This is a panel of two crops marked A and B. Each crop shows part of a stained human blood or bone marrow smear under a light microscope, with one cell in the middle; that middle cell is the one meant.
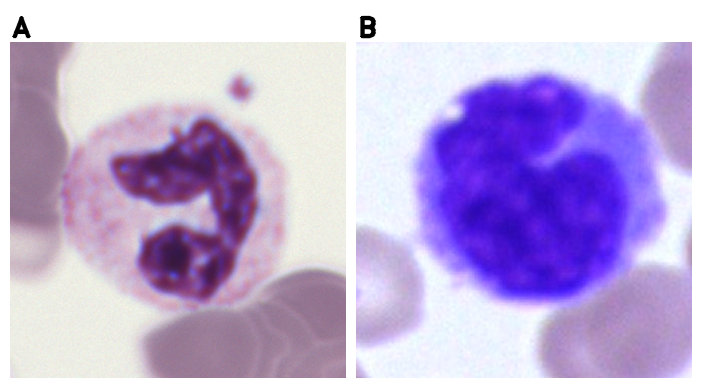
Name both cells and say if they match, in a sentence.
No, the assignment should read crop A, a segmented neutrophil; crop B, a monocyte.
